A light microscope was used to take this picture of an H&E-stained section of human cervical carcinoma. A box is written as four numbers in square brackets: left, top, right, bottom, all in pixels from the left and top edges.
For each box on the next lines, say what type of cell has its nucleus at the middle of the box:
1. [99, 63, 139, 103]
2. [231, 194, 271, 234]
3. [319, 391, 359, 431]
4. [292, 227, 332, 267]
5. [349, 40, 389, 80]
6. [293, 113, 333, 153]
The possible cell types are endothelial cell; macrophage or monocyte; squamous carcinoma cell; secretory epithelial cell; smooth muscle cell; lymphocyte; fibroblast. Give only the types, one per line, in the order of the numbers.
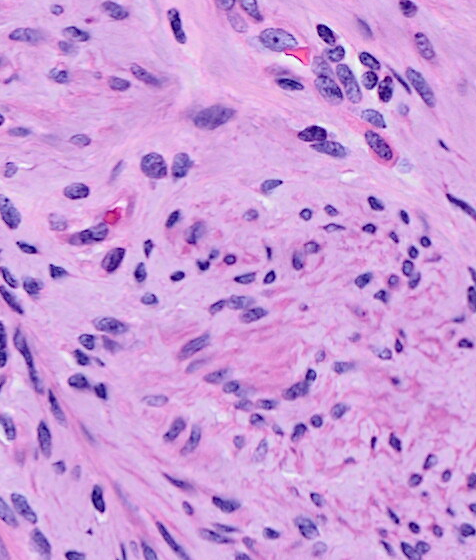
smooth muscle cell
smooth muscle cell
smooth muscle cell
smooth muscle cell
lymphocyte
lymphocyte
